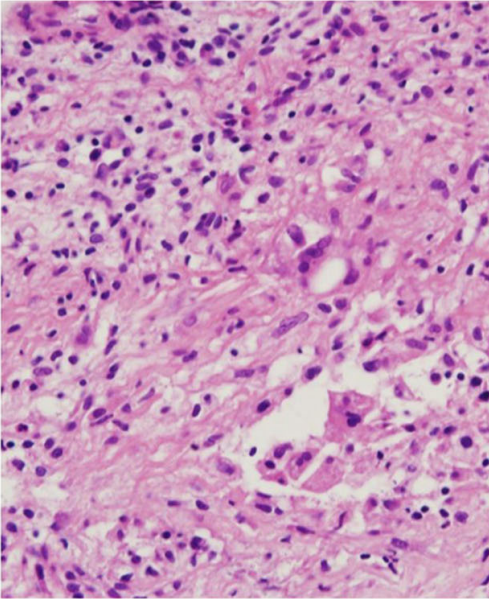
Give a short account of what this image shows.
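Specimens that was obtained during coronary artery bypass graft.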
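Inflamed vessel wall, with many inflammatory cells and multinucleated giant cells set in pink fibrous stroma. Small round and oval dark-purple nuclei of inflammatory cells are densely and diffusely scattered, thickest toward the top. Between them run wavy pink collagen bundles with spindle-shaped nuclei. Large cells with several nuclei and plentiful pink cytoplasm lie in the middle and lower middle, one within a clear cleft-like space. Small clear vacuoles and loose oedematous spaces break up the stroma.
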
